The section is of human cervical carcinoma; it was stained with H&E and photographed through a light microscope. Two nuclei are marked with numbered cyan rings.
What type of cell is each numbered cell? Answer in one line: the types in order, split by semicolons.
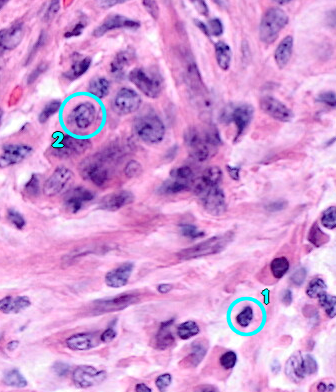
lymphocyte; squamous carcinoma cell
